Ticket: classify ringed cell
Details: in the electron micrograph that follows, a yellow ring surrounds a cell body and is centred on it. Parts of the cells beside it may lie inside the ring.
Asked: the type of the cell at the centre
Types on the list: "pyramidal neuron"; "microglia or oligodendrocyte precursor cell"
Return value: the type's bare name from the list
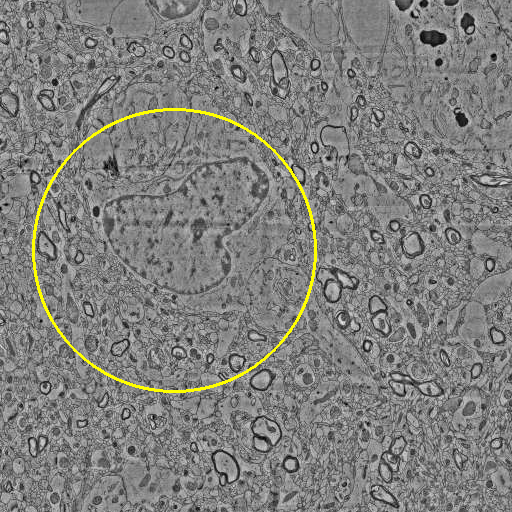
microglia or oligodendrocyte precursor cell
